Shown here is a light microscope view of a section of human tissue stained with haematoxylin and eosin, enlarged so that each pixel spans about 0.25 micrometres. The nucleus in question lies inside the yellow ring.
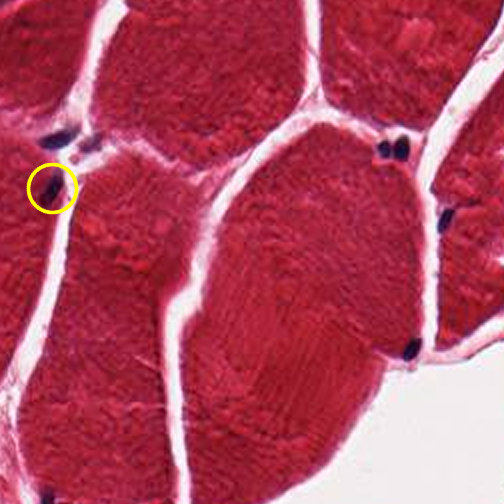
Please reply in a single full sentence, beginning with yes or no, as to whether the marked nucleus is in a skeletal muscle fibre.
Yes, it is the nucleus of a skeletal muscle fibre that has been marked.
